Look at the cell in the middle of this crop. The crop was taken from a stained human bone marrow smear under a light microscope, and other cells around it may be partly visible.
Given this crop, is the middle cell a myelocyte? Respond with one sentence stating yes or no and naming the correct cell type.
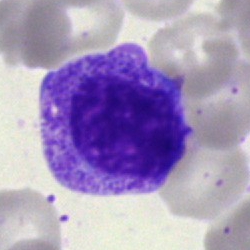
Yes, within this crop, the central cell is a myelocyte.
